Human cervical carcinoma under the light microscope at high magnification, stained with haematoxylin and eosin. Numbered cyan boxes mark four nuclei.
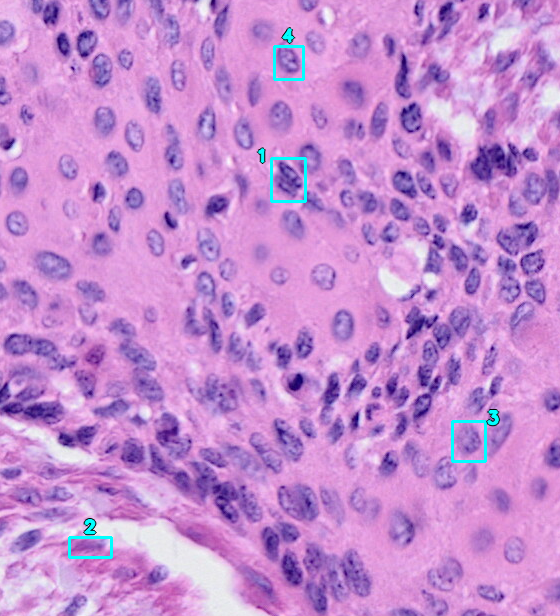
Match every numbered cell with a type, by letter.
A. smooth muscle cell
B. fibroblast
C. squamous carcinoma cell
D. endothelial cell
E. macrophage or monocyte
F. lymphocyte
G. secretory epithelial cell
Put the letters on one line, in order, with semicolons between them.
C; B; C; C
